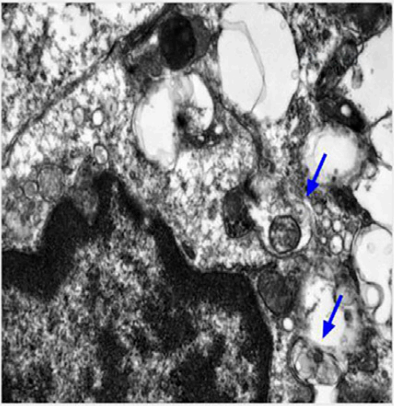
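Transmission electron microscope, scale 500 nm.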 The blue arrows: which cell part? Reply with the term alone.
autophagosomes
